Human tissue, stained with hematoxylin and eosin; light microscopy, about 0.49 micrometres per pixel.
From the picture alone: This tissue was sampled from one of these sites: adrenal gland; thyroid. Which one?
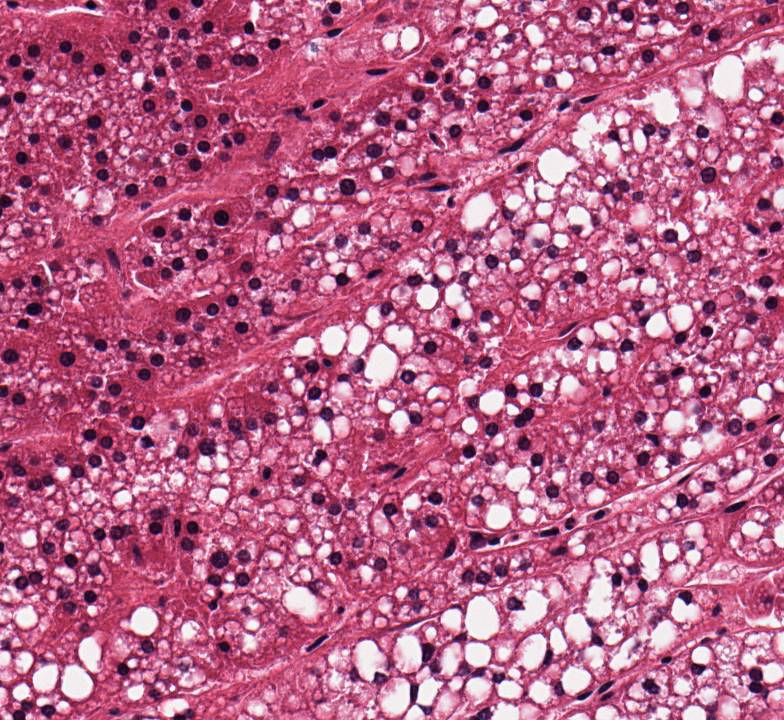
adrenal gland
